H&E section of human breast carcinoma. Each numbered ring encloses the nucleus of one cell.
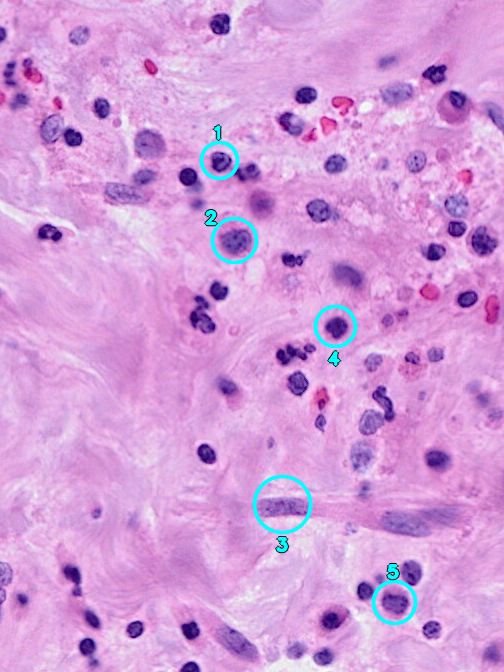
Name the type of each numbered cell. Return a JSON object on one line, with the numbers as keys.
{"1": "lymphocyte", "2": "mast cell", "3": "fibroblast", "4": "lymphocyte", "5": "macrophage, monocyte or dendritic cell"}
